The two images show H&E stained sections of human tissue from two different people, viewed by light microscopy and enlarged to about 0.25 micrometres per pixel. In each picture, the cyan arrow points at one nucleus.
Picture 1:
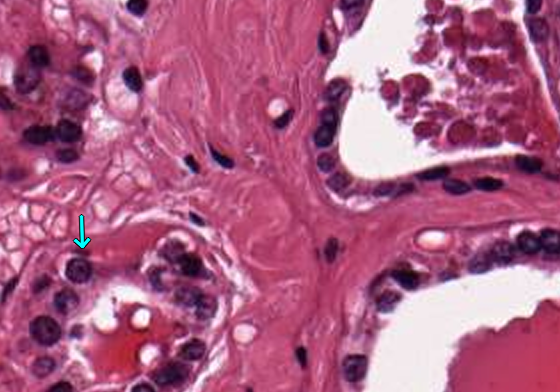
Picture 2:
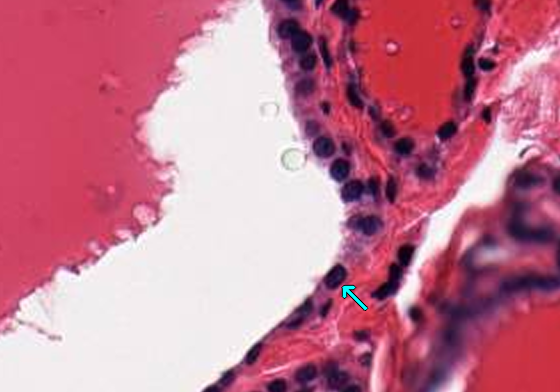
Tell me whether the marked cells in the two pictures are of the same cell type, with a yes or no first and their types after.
Yes, both are thyroid follicular cells.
